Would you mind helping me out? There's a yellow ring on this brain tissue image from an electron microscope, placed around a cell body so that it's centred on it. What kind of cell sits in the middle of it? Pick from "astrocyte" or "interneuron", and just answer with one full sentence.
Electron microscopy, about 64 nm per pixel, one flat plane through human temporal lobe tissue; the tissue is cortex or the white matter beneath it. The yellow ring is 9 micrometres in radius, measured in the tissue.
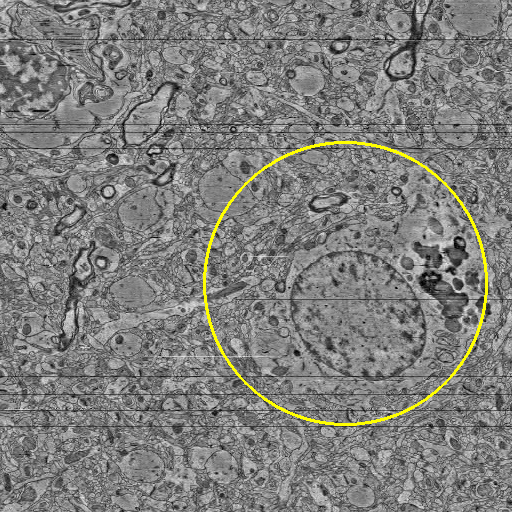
What sits in the middle of that yellow ring is an astrocyte, from your choices.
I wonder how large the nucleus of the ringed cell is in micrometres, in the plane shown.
Roughly 9 by 8 micrometres in this plane, for the nucleus of the ringed cell.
